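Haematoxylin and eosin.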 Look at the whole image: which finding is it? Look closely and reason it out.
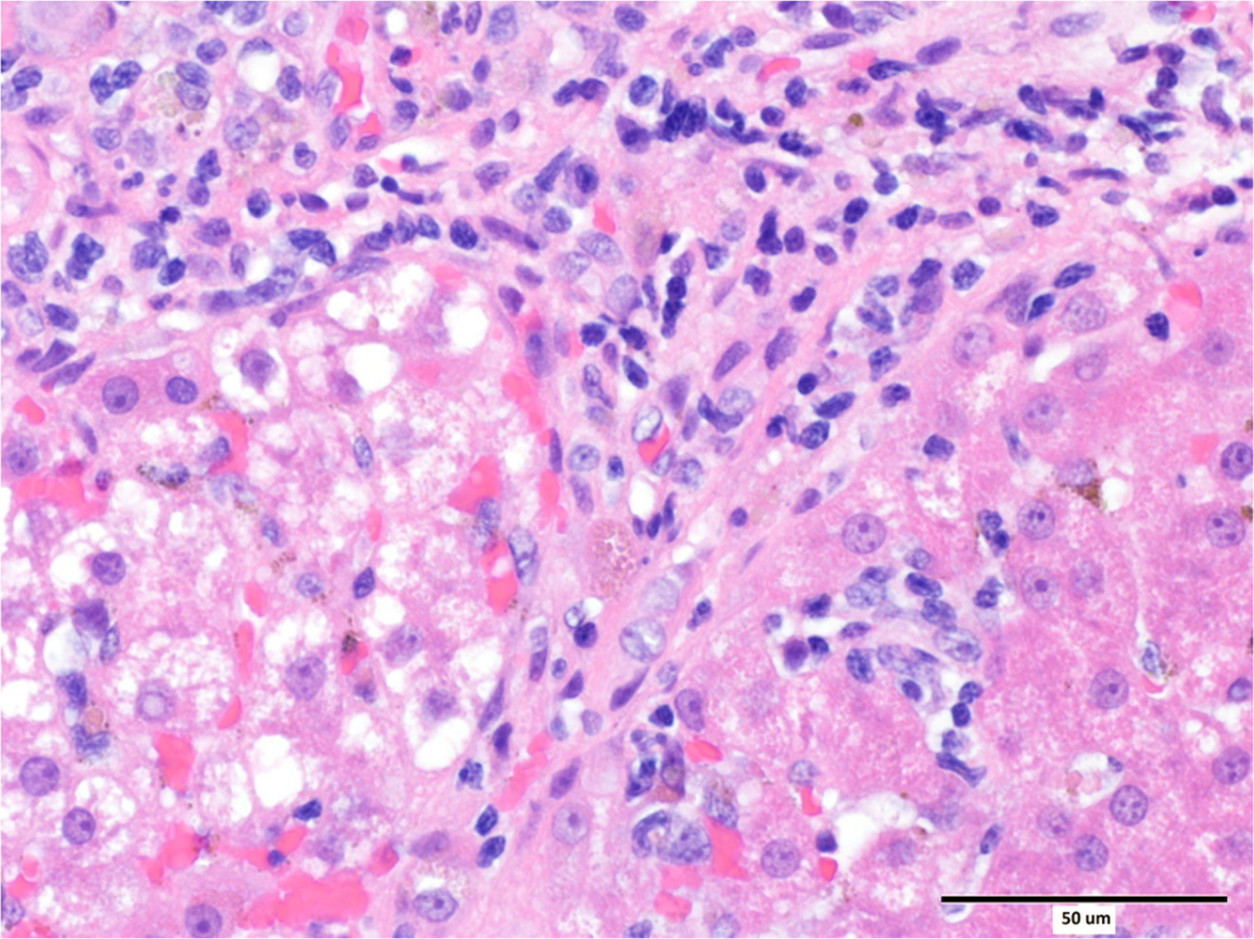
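Clusters of polygonal liver cells are cut apart by bands of pink fibrous tissue with spindle-shaped nuclei. Many small round cells with dark nuclei are scattered through the fibrous bands.
Hence: chronic hepatitis.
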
